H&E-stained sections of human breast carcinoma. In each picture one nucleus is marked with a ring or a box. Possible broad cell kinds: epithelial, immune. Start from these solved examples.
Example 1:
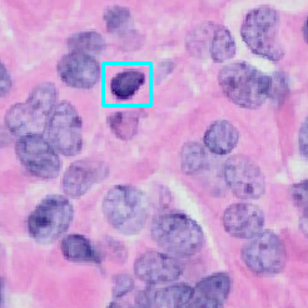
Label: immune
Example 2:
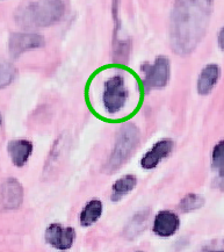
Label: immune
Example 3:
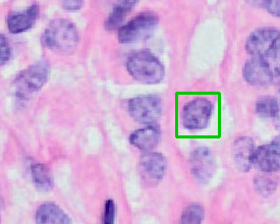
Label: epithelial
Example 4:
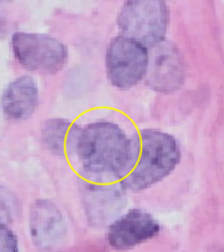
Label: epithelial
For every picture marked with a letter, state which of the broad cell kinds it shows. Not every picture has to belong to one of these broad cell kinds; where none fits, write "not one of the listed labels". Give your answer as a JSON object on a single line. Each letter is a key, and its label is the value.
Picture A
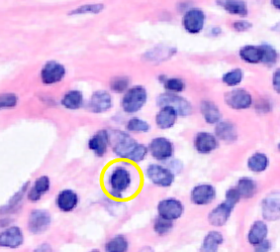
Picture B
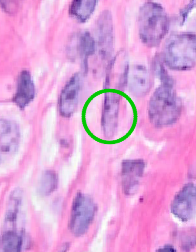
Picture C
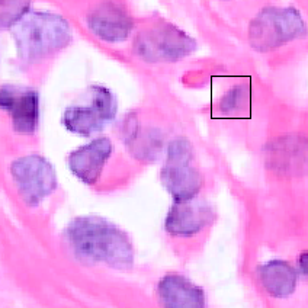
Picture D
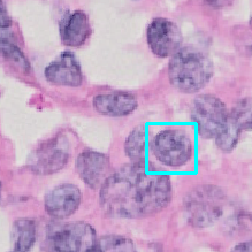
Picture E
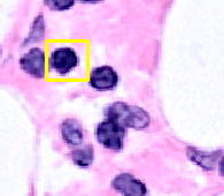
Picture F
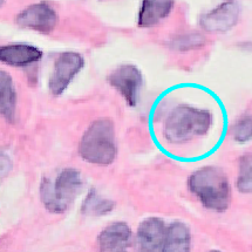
{"A": "immune", "B": "not one of the listed labels", "C": "not one of the listed labels", "D": "epithelial", "E": "immune", "F": "epithelial"}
